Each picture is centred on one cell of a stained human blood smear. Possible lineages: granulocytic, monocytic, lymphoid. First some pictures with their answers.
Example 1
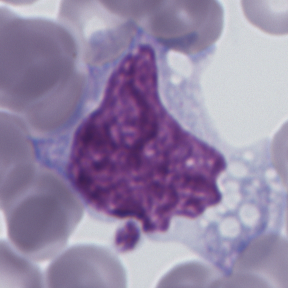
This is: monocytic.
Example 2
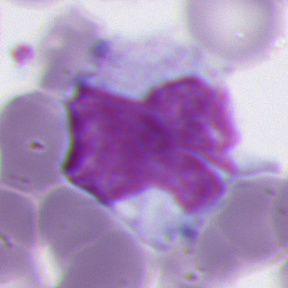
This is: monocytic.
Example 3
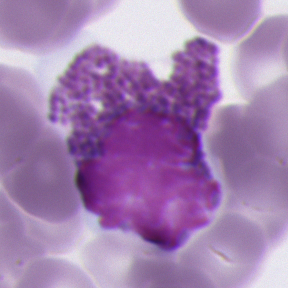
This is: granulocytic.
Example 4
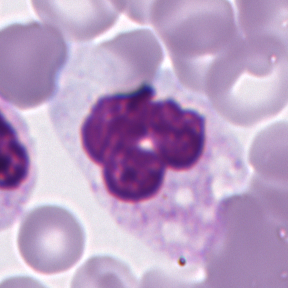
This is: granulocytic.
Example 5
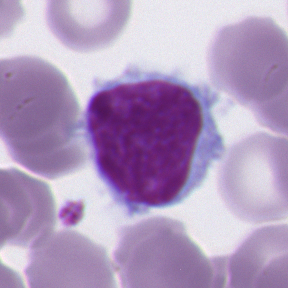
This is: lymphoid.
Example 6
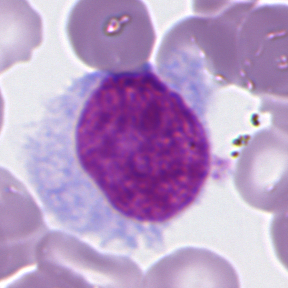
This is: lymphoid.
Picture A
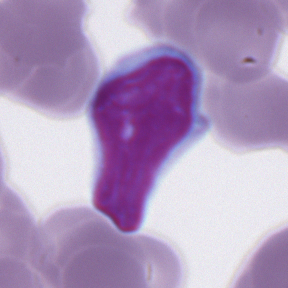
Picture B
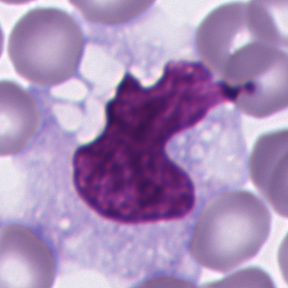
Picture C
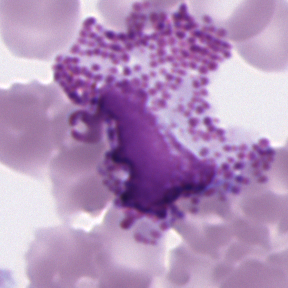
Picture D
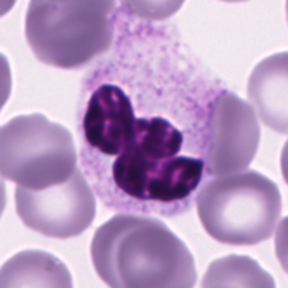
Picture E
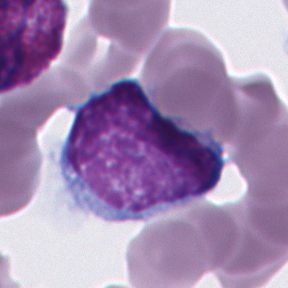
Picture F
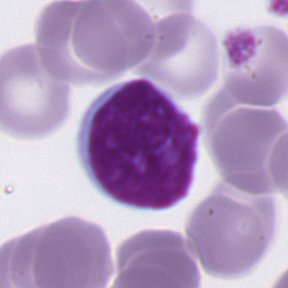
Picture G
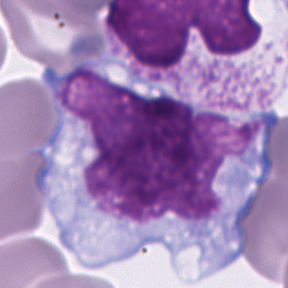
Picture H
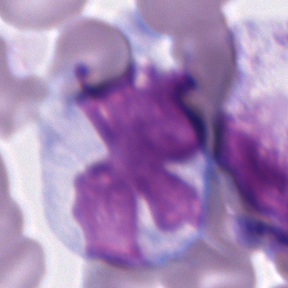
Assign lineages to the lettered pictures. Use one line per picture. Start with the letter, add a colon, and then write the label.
A: lymphoid.
B: monocytic.
C: granulocytic.
D: granulocytic.
E: lymphoid.
F: lymphoid.
G: monocytic.
H: monocytic.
